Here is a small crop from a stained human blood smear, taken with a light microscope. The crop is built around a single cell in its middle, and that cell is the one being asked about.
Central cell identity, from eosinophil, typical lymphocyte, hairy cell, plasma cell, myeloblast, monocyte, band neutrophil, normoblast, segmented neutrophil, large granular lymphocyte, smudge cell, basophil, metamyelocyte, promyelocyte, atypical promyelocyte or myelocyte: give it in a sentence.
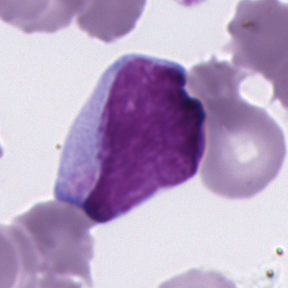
This crop has a myeloblast at its centre.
